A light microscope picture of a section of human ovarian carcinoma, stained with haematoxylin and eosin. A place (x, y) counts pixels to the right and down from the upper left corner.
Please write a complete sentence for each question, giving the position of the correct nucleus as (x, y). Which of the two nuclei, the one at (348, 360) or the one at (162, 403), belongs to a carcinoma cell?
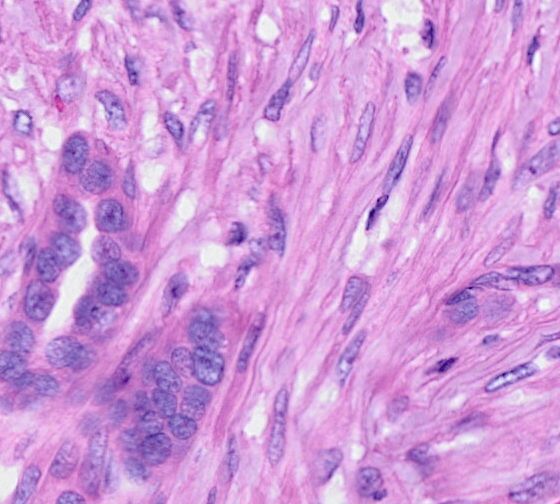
In this pair, the nucleus at (162, 403) belongs to a carcinoma cell.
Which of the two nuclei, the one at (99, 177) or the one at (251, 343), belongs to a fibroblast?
Out of the two, it is the nucleus at (251, 343) that belongs to a fibroblast.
